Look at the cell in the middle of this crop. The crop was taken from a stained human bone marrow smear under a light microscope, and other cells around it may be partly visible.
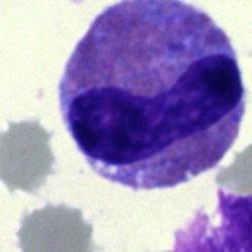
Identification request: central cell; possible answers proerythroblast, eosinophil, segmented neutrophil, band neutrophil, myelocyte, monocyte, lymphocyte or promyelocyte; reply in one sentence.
As for the central cell, it is an eosinophil.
